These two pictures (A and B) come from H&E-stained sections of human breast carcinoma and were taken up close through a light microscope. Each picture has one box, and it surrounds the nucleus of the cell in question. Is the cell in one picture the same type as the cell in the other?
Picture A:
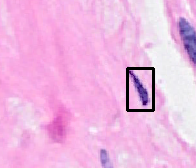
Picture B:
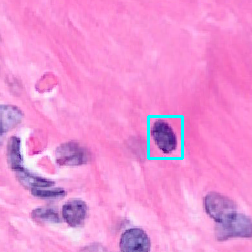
no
